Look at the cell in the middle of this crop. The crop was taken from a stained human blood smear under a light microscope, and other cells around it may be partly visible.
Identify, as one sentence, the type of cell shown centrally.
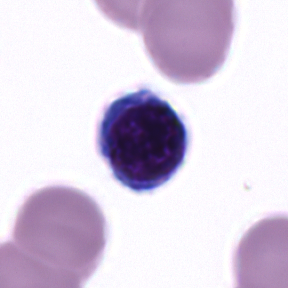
The center cell of this crop is a plasma cell.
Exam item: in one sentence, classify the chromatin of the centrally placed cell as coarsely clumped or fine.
Answer: the chromatin in this nucleus is coarsely clumped.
